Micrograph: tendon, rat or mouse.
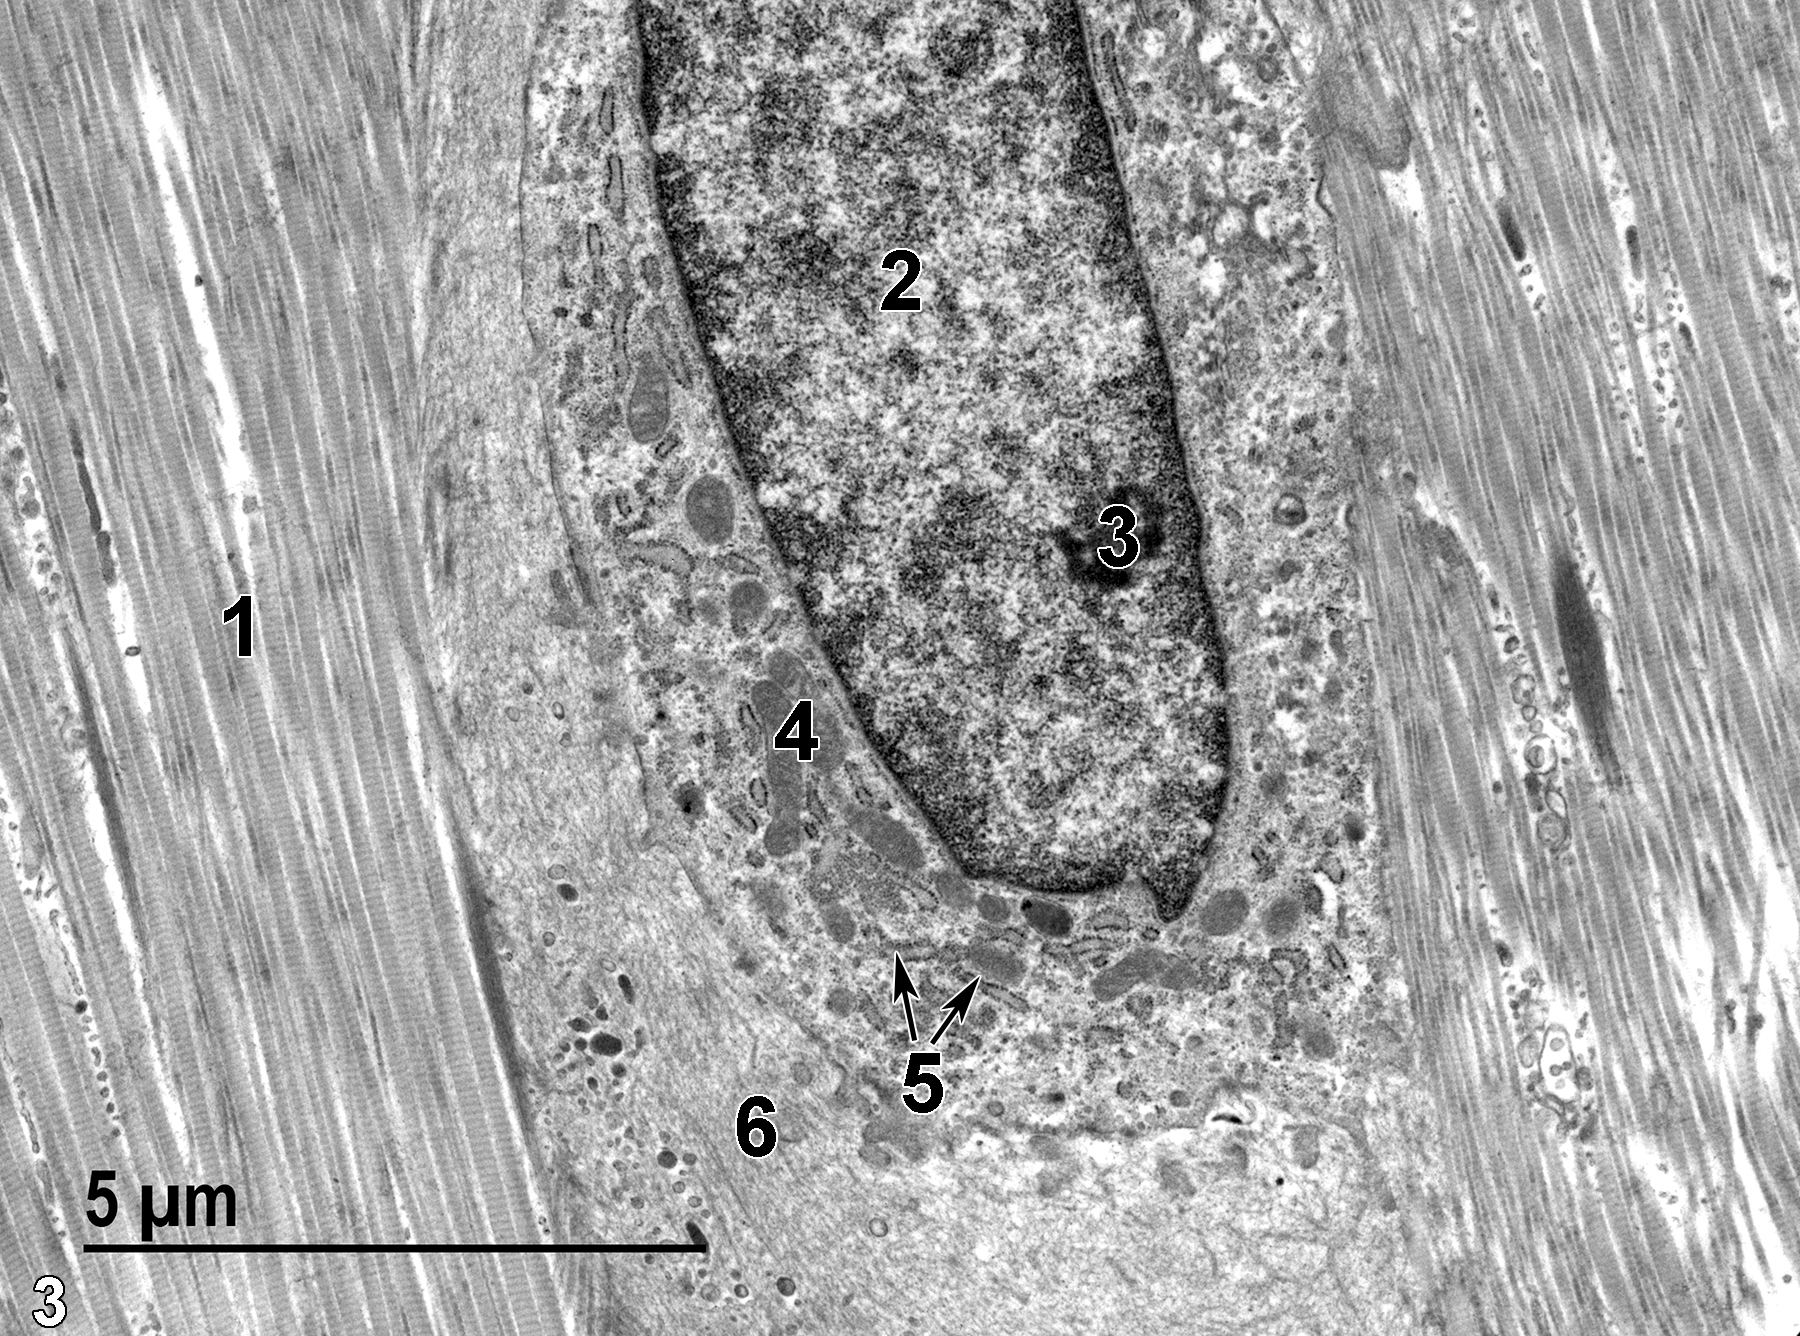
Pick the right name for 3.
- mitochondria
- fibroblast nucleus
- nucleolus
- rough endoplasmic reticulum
nucleolus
